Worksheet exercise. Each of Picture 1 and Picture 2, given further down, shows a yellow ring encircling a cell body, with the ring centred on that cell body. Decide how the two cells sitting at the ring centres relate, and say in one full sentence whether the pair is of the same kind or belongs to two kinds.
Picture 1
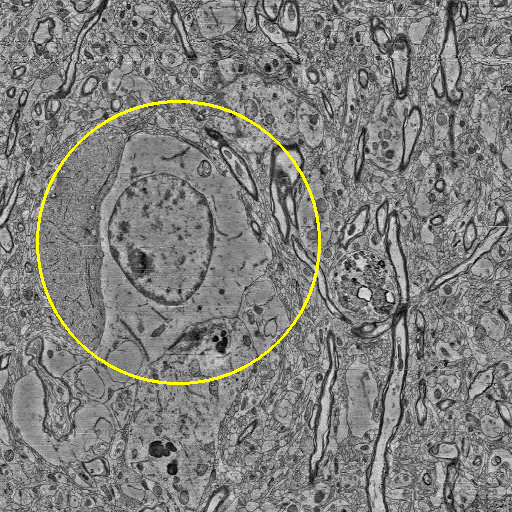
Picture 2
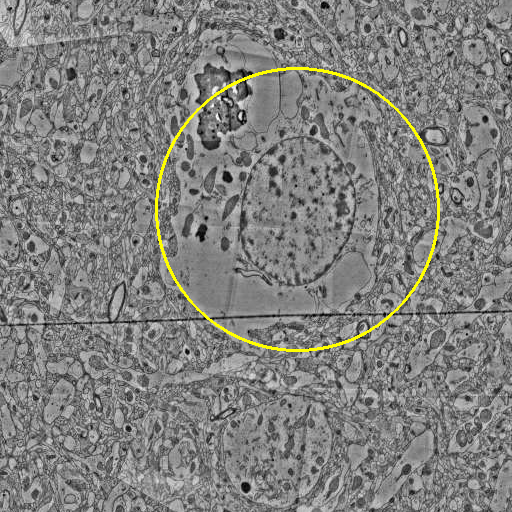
The cells at the ring centres in Picture 1 and Picture 2 are of the same kind.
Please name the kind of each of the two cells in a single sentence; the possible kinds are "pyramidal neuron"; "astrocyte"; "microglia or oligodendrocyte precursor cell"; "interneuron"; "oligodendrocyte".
In each picture the ringed cell is an astrocyte.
